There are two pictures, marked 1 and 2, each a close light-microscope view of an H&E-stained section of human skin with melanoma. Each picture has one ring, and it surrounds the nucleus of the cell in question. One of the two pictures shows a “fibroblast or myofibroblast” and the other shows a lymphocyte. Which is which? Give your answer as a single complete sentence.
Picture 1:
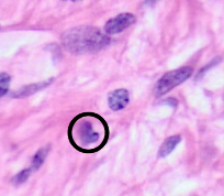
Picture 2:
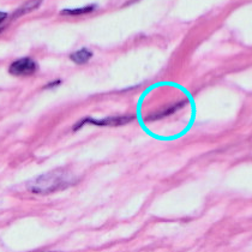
Picture 2 shows a “fibroblast or myofibroblast”, while picture 1 shows a lymphocyte.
